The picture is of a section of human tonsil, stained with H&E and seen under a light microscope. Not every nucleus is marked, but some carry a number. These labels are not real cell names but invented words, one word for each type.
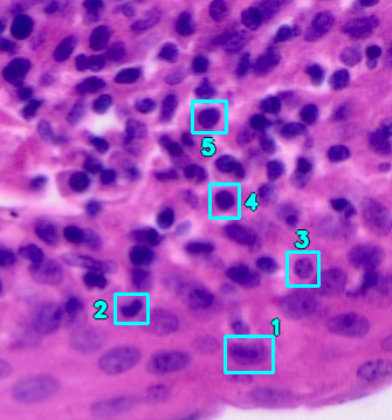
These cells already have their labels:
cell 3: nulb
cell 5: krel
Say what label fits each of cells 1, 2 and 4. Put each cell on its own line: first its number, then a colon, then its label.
1: nulb
2: nulb
4: krel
